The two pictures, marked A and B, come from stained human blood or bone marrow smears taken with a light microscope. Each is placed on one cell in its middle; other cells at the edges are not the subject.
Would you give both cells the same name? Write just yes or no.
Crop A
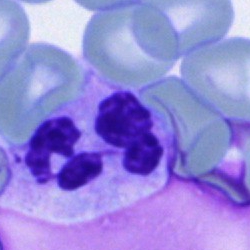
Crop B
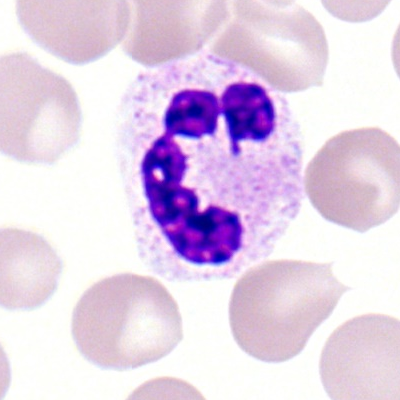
yes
